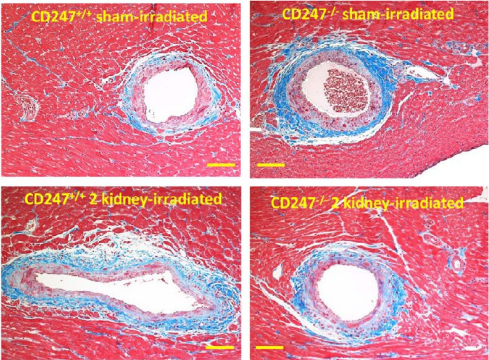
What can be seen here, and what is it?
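Four fields of red-staining heart muscle are shown, and each is centred on a blood vessel cut in cross section. The vessel walls are built of layered pink-purple smooth muscle with dark elongated nuclei, lining an open lumen. One lumen is packed with red blood cells.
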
